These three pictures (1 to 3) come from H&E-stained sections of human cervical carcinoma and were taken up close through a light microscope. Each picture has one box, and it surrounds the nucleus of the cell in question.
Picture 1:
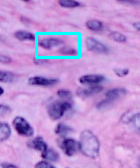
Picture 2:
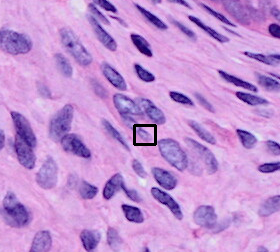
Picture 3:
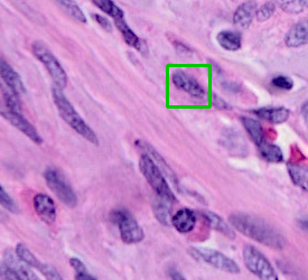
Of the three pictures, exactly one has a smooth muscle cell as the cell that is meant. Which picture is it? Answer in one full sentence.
The cell in picture 1 is the smooth muscle cell.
